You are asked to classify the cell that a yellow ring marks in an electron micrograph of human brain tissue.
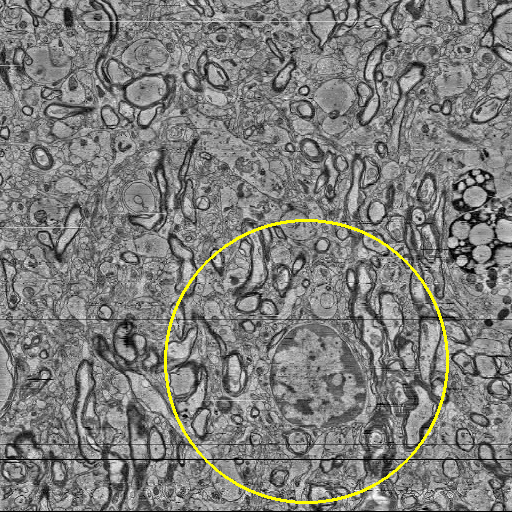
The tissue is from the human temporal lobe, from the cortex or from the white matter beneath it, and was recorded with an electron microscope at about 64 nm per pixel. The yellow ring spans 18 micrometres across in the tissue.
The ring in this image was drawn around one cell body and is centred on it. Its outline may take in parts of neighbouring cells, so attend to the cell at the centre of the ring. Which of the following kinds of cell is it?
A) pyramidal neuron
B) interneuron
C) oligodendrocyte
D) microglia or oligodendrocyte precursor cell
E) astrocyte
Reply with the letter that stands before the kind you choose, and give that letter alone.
D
